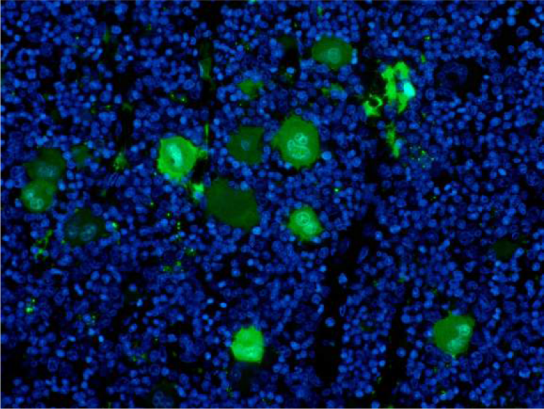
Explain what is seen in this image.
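In this bone marrow section the megakaryocytes stand out as large cells filled with green, scattered singly among a dense carpet of small blue nuclei of the other marrow cells. Some of the green cells show a large irregular nucleus in their middle, and a few small green fragments lie between the cells.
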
